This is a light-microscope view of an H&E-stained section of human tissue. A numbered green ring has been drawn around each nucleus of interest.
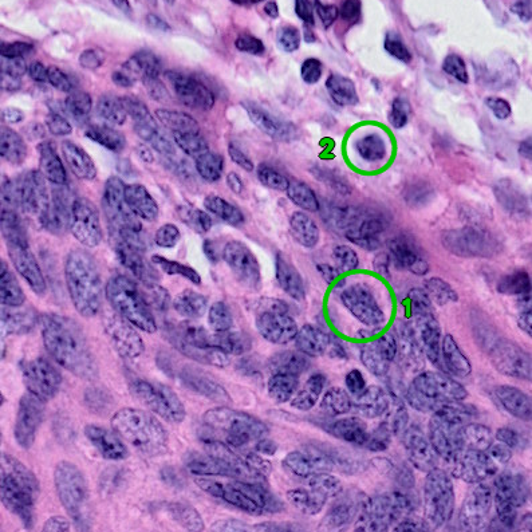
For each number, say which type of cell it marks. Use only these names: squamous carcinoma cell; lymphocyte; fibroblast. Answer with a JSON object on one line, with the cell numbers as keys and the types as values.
{"1": "squamous carcinoma cell", "2": "lymphocyte"}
